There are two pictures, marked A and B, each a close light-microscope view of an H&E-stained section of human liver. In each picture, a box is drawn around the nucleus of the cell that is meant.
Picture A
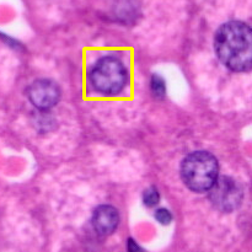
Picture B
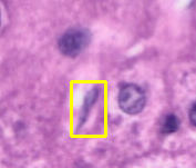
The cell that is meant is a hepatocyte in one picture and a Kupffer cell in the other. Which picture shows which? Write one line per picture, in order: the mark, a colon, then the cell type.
A: hepatocyte
B: Kupffer cell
